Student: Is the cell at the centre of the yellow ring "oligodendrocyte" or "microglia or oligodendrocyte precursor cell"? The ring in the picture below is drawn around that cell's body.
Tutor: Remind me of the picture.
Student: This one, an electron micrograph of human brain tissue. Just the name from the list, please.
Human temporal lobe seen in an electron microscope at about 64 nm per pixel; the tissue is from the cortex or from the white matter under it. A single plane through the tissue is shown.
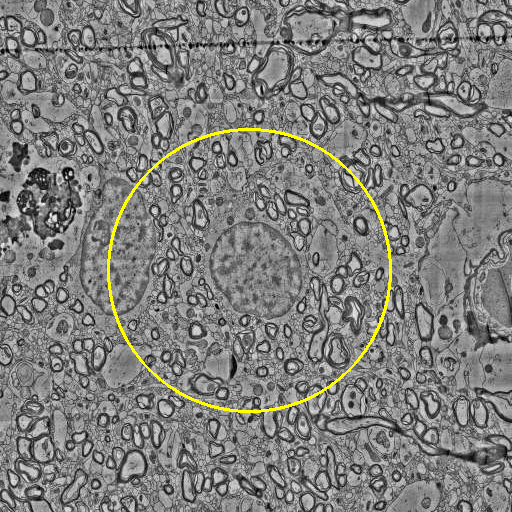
oligodendrocyte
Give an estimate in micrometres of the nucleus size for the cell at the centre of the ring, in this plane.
Roughly 6 by 5 micrometres is the size of the nucleus in this plane.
